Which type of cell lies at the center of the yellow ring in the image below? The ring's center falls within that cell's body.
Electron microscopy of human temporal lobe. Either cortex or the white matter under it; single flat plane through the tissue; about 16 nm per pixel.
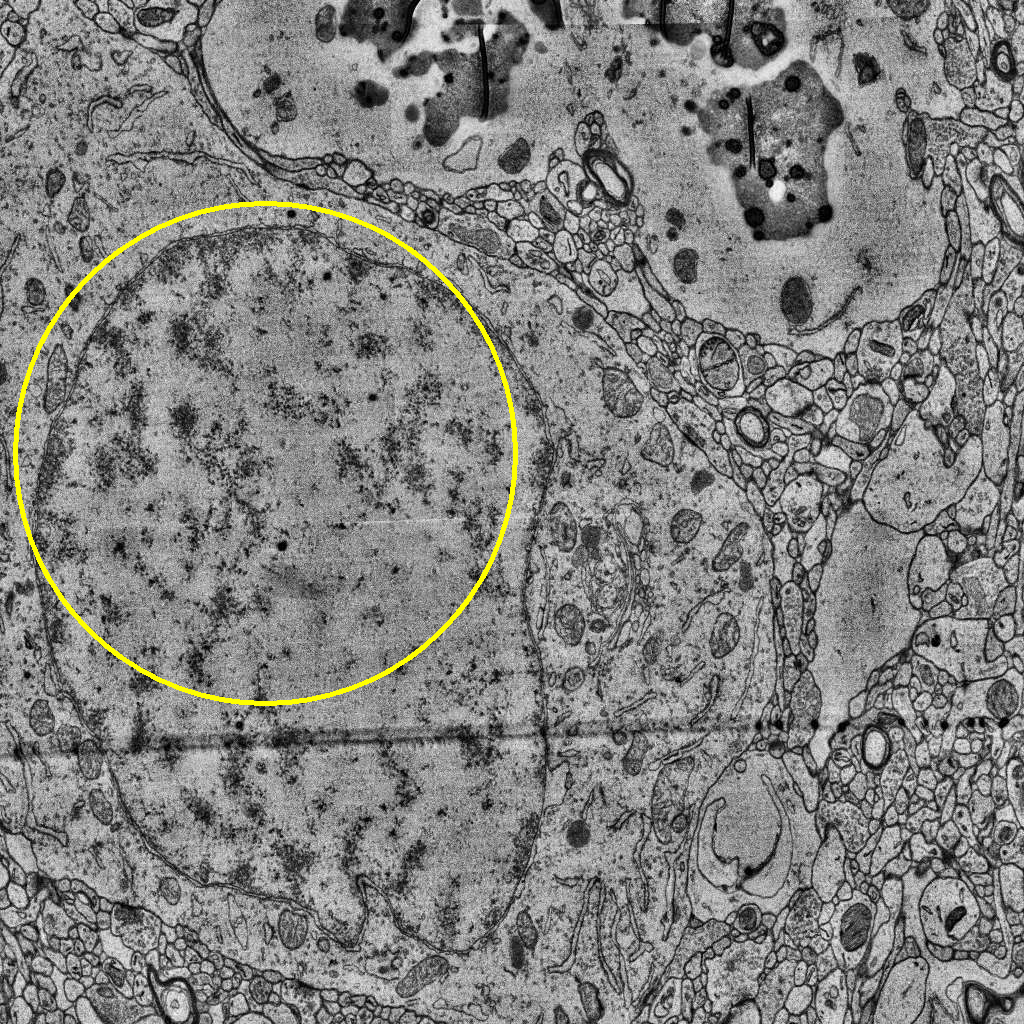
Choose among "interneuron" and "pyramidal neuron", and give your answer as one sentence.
The cell body at the center belongs to an interneuron.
